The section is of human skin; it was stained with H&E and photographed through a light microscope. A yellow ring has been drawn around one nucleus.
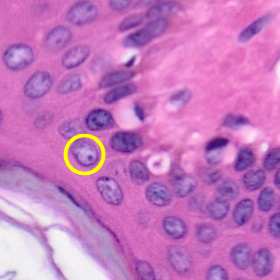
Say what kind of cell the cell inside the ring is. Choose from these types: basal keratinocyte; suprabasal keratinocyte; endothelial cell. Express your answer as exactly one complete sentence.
What the cell inside the ring represents is a suprabasal keratinocyte.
